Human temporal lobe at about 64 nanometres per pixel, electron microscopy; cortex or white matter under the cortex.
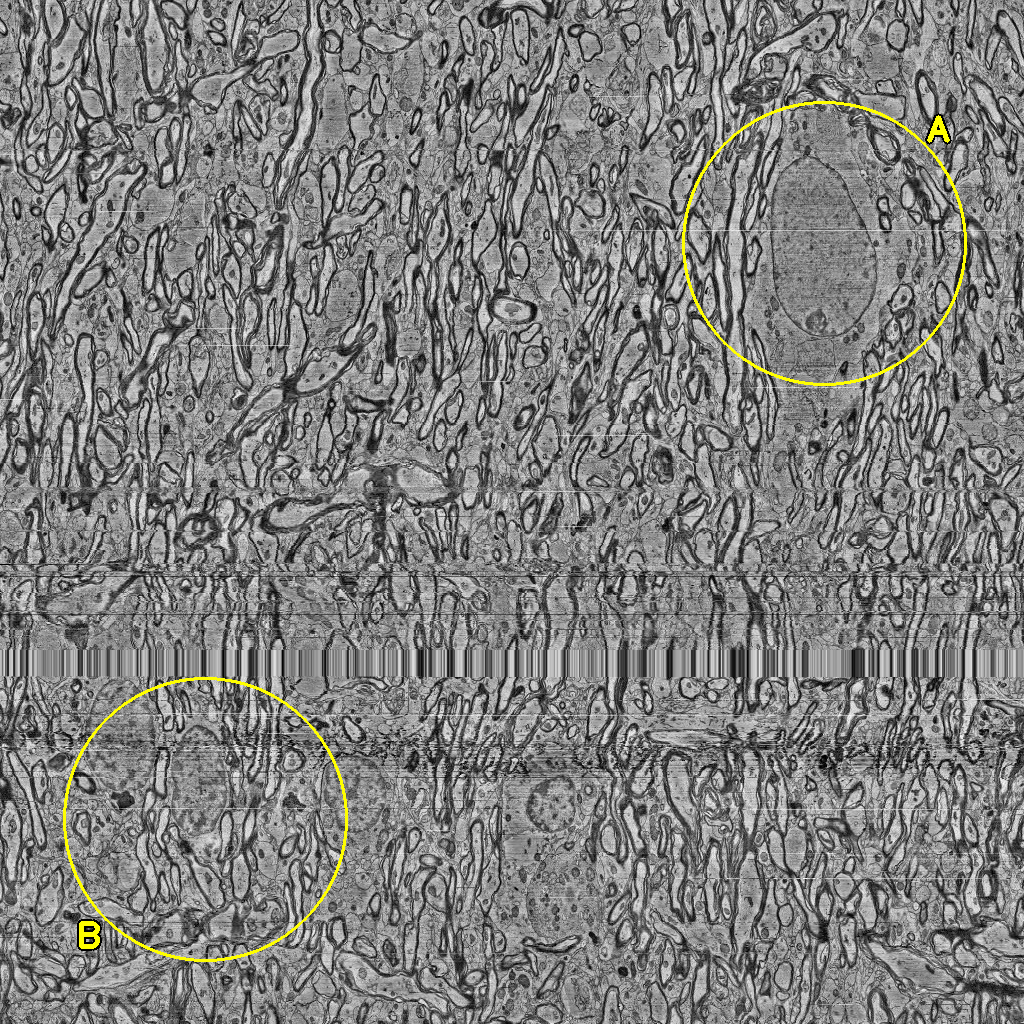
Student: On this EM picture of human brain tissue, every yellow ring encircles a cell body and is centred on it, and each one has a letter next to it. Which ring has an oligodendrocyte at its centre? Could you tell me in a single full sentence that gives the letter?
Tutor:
Ring B is the one drawn around the cell you are asking about.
